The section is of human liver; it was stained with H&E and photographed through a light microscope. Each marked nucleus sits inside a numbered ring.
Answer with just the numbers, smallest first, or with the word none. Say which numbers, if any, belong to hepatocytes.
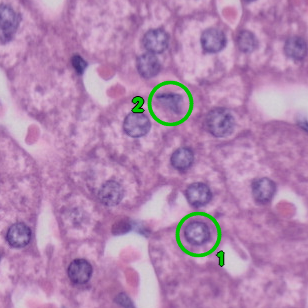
1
